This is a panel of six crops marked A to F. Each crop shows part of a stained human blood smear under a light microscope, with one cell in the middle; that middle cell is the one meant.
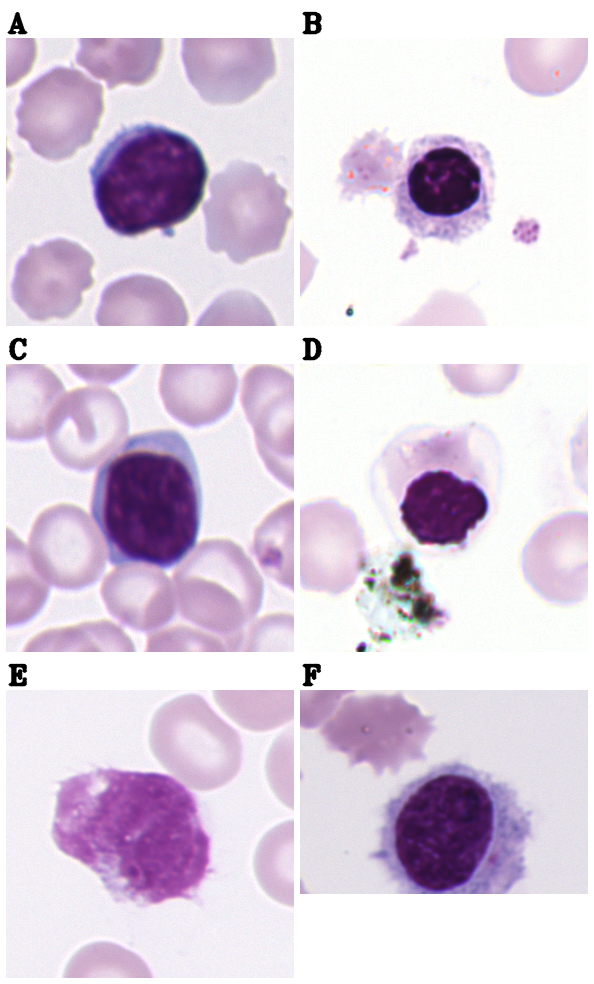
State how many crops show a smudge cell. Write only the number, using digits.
1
